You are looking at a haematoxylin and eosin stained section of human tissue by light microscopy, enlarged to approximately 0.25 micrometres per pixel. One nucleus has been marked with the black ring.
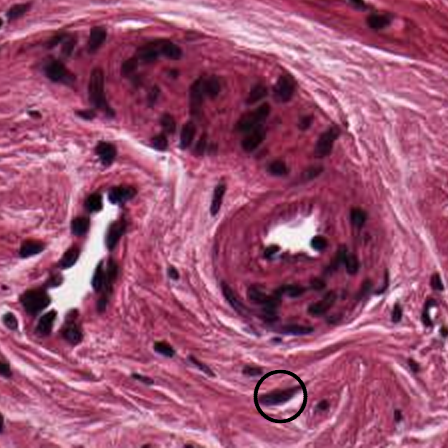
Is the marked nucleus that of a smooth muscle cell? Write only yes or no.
no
